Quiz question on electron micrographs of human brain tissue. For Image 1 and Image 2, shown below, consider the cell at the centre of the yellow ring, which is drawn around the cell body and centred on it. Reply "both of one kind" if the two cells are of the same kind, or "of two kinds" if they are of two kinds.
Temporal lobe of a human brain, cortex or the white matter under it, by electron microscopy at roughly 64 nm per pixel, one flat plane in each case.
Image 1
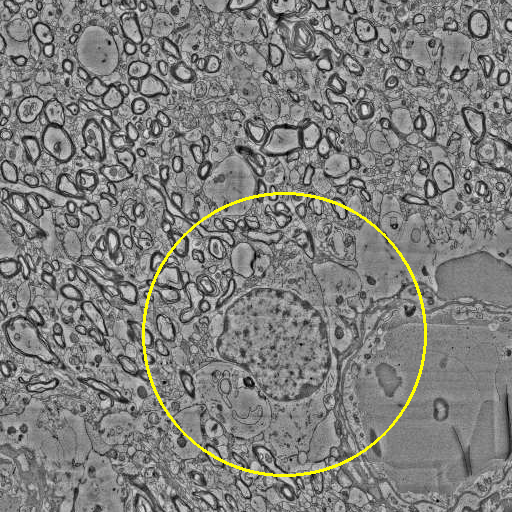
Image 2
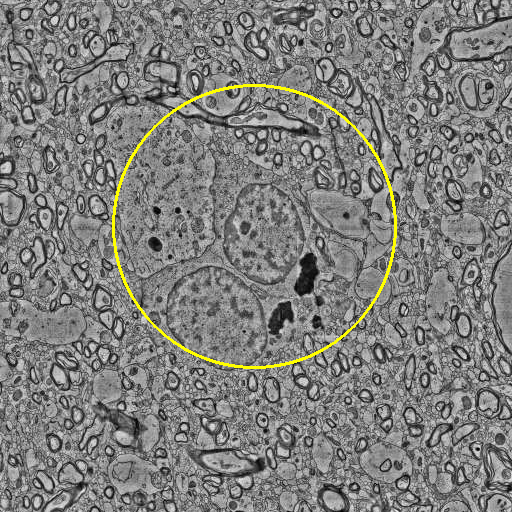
of two kinds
